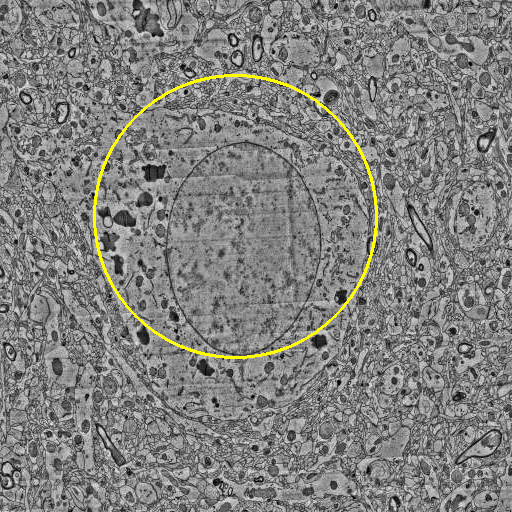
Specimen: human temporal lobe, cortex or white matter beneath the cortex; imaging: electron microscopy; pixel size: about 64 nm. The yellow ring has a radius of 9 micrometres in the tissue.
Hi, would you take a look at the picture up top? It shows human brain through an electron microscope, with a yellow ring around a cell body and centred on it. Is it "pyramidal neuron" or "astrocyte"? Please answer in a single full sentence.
The best fit for the cell in the middle of the ring is a pyramidal neuron, I reckon.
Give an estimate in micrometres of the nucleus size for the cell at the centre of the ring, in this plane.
The nucleus of the ringed cell is approximately 14 by 10 micrometres in this plane.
